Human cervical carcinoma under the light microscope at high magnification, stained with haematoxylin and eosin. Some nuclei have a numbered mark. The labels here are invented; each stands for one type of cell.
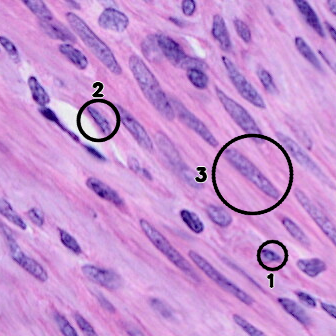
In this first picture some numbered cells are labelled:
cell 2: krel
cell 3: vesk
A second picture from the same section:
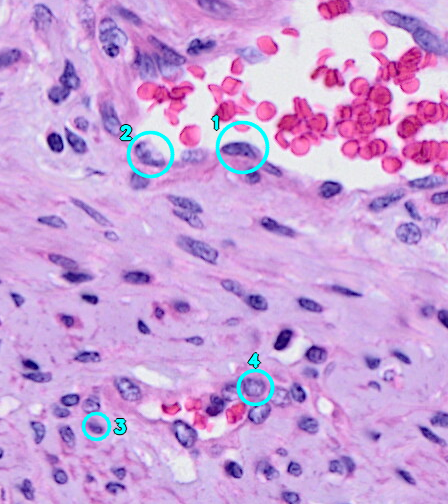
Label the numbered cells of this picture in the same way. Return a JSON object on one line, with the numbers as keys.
{"1": "krel", "2": "krel", "3": "vesk", "4": "krel"}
